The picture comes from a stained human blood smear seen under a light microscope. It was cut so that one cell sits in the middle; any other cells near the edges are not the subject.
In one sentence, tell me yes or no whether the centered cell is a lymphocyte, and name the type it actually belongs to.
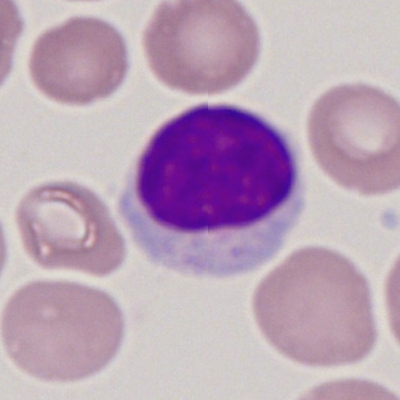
Yes, the identity of the central cell is that of a lymphocyte.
